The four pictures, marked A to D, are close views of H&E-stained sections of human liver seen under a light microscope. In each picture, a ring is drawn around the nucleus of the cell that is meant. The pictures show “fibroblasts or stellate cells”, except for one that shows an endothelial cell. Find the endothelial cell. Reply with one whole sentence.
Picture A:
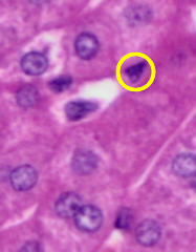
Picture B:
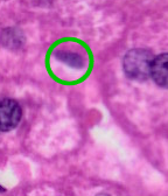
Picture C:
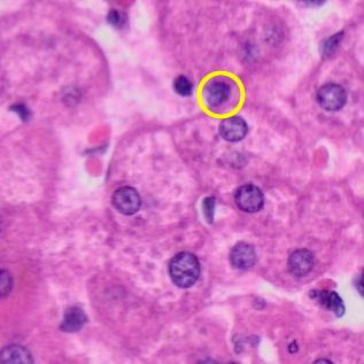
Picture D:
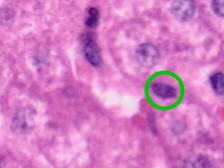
The endothelial cell is the one in picture B.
